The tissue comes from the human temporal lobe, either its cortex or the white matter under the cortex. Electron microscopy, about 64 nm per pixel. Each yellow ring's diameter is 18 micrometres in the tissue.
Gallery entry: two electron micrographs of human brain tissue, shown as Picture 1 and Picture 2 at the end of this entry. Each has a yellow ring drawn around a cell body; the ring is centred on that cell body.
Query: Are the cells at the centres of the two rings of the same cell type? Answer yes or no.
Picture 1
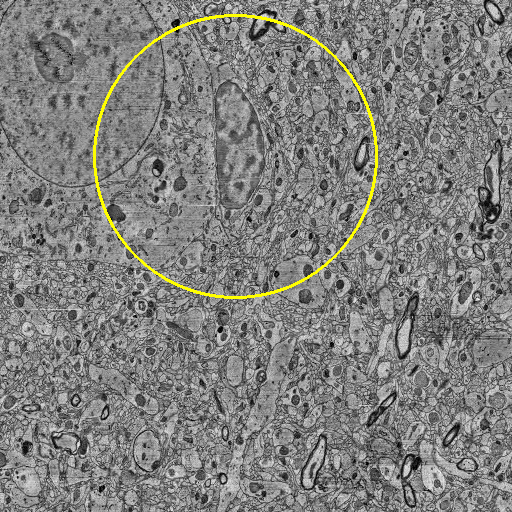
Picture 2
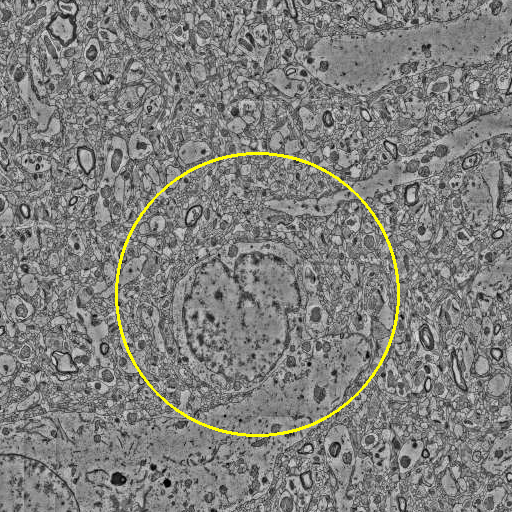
no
